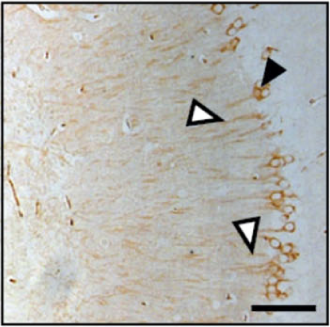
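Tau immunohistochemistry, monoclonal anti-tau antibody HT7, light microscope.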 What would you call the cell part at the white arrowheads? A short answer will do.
axonal/dendritic staining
